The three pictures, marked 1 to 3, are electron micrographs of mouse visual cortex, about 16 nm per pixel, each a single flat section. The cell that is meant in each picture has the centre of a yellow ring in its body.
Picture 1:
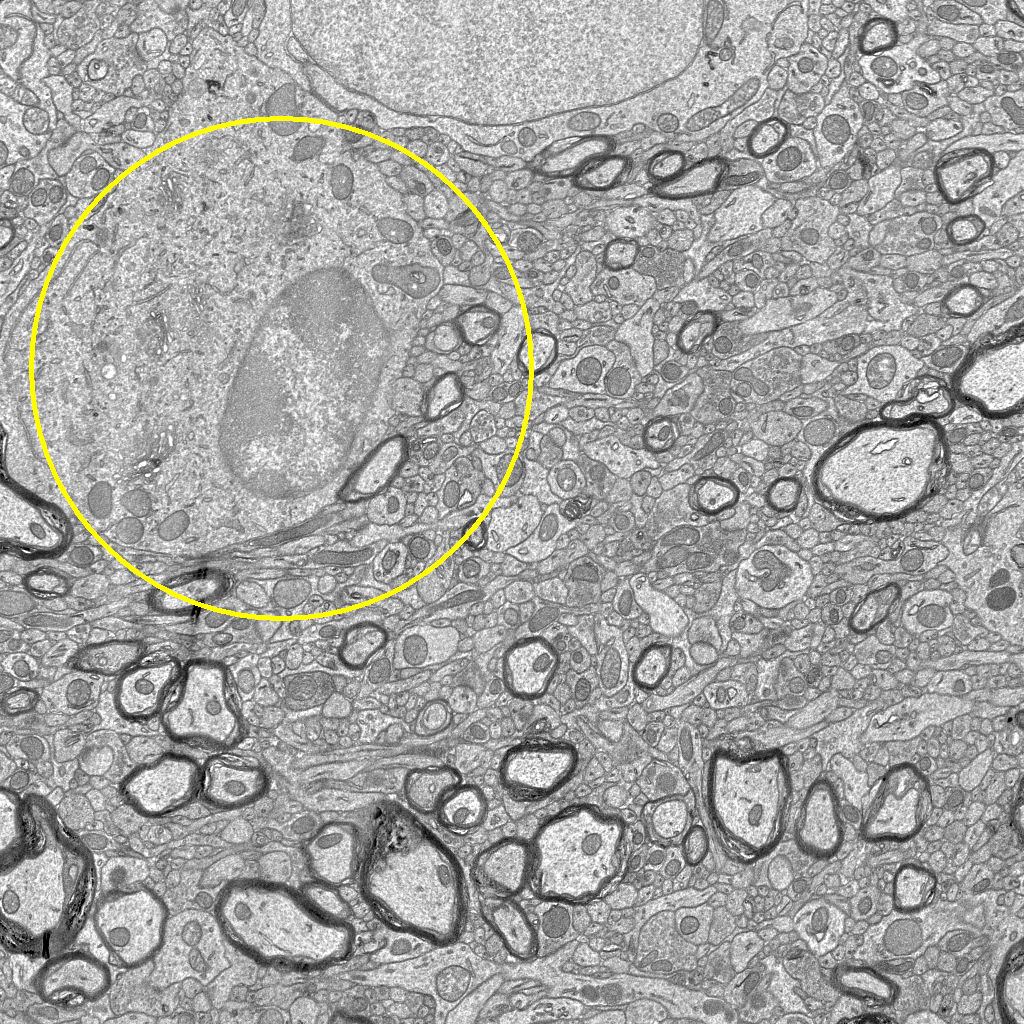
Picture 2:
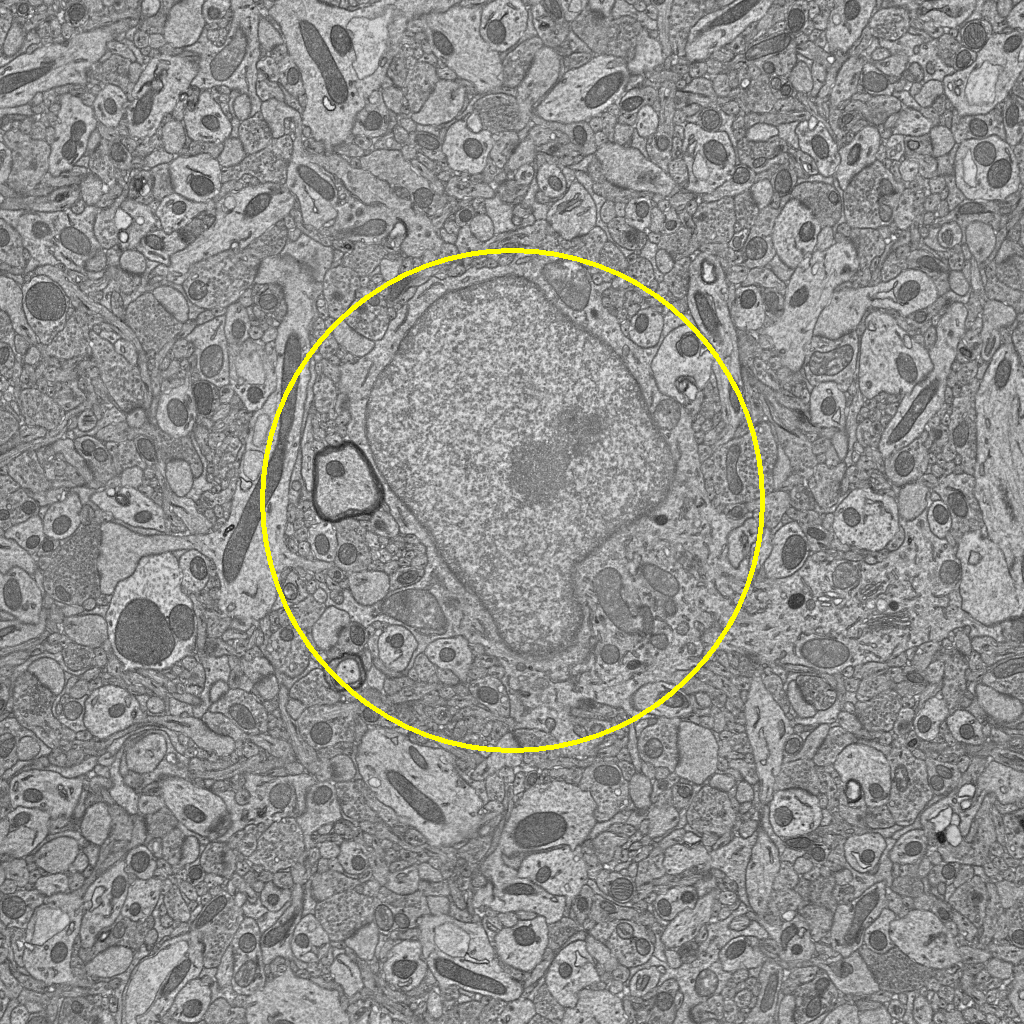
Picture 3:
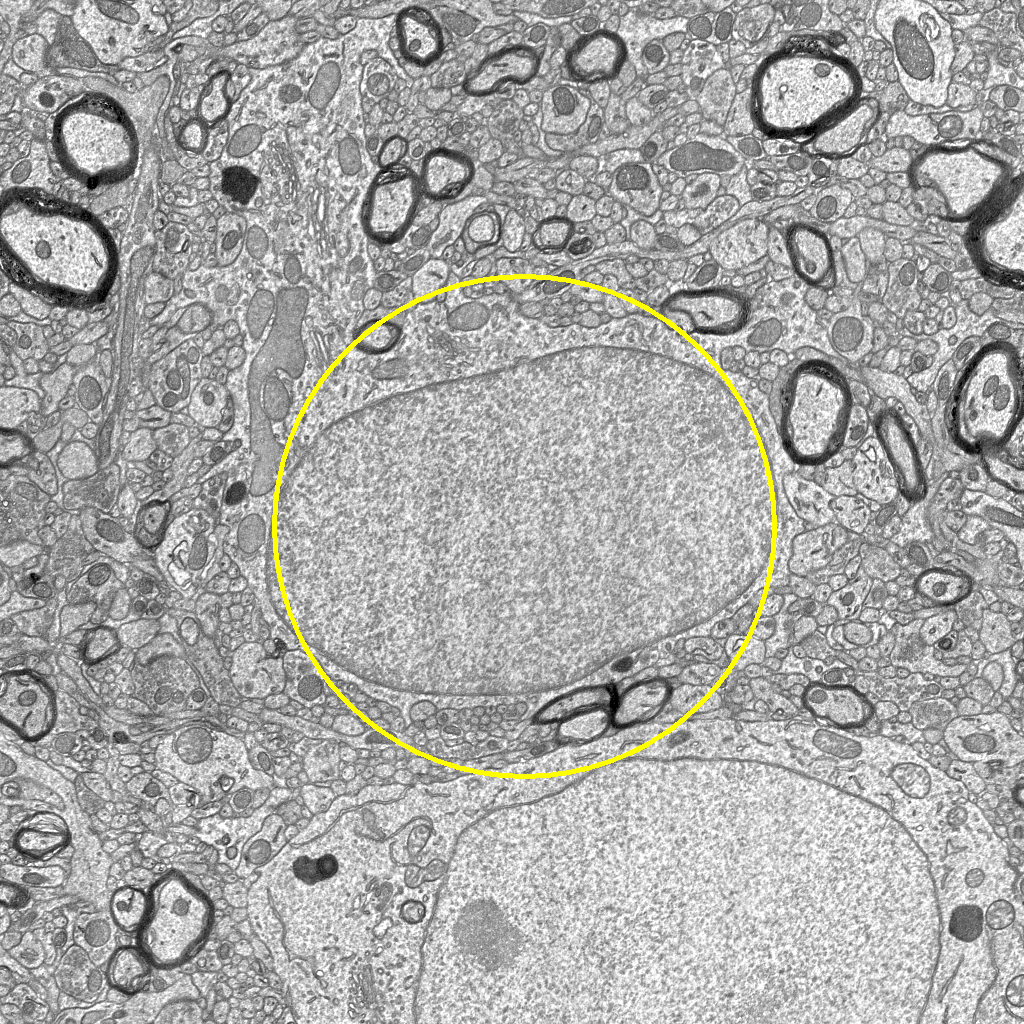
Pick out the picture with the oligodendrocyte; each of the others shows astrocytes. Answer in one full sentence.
Picture 1 is the one that shows the oligodendrocyte.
